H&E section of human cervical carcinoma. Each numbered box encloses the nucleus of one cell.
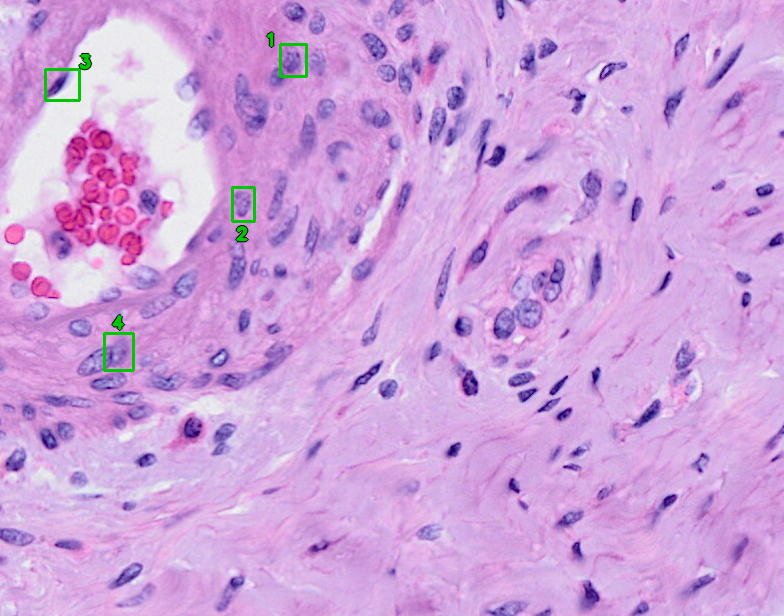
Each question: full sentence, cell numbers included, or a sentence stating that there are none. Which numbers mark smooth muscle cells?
Identified as smooth muscle cells are the cells numbered 1, 2 and 4.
